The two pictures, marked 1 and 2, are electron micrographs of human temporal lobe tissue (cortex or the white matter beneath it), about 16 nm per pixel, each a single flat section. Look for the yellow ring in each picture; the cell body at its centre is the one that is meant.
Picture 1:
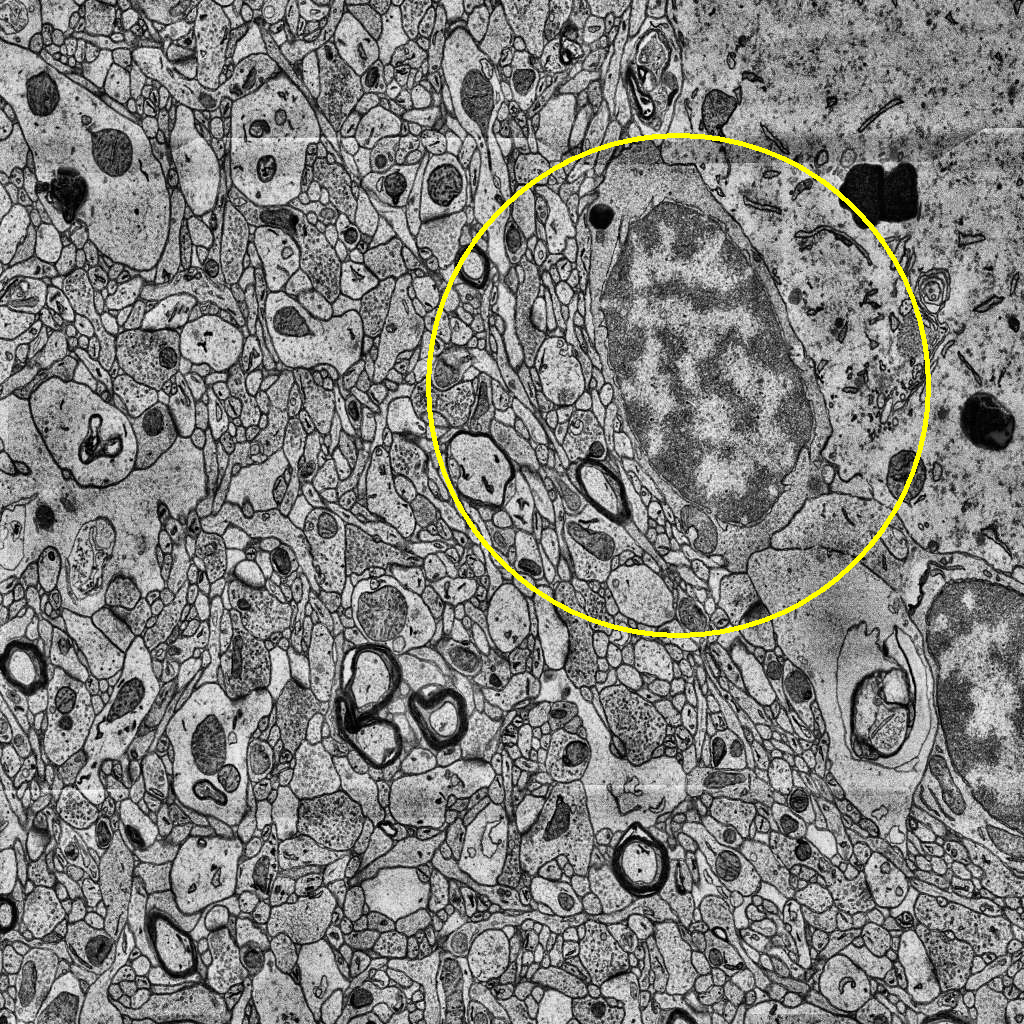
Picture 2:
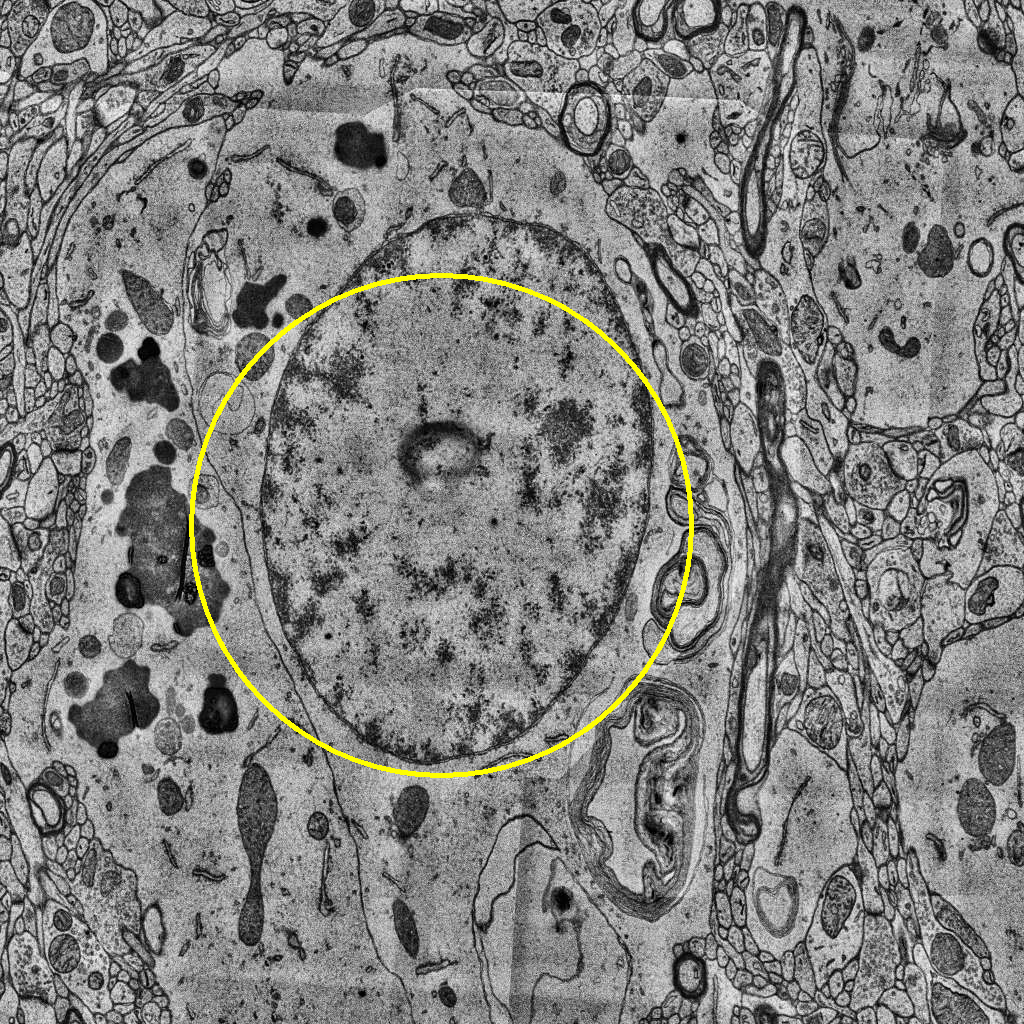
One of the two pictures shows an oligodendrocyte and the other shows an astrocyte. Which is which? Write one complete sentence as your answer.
In picture 1 the cell is an oligodendrocyte; in picture 2, an astrocyte.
